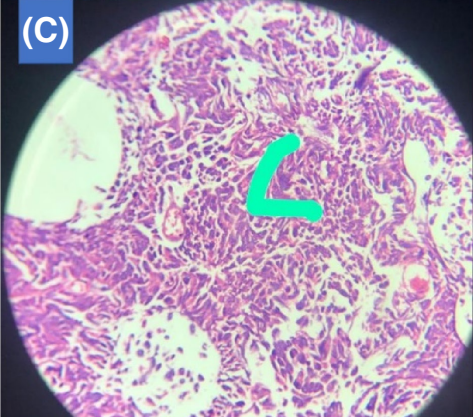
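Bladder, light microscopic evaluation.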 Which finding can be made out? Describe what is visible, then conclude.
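Malignant neoplasm. Sheets of crowded medium-sized cells with dark, irregular nuclei. Very little cytoplasm around the nuclei. No orderly layering of the cells.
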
